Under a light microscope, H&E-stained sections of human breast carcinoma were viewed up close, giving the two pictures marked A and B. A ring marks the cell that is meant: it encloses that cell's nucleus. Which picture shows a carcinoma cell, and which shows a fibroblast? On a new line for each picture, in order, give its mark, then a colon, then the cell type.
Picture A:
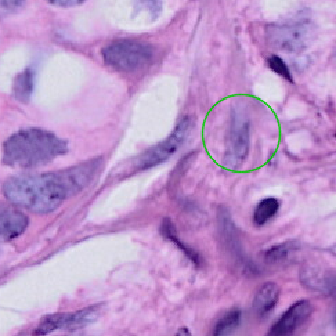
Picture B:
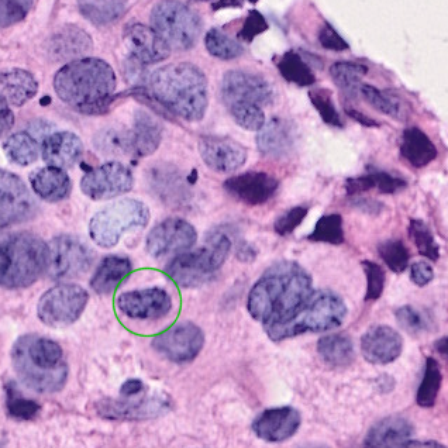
A: fibroblast
B: carcinoma cell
